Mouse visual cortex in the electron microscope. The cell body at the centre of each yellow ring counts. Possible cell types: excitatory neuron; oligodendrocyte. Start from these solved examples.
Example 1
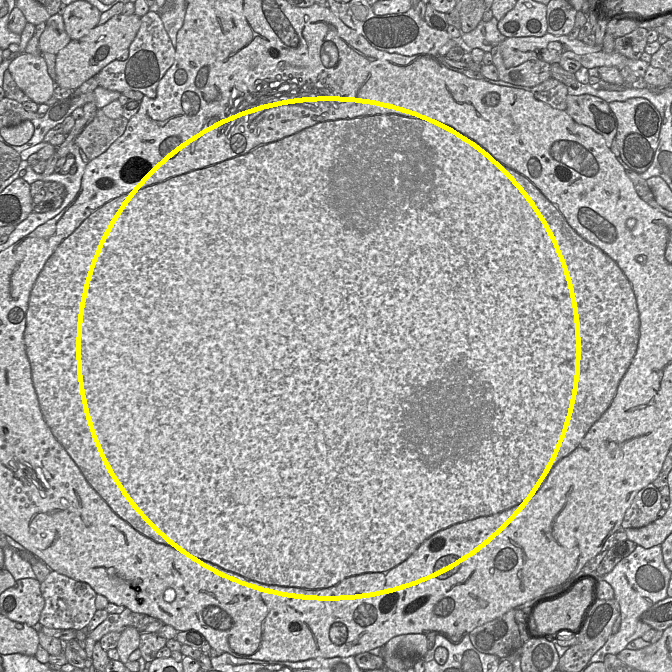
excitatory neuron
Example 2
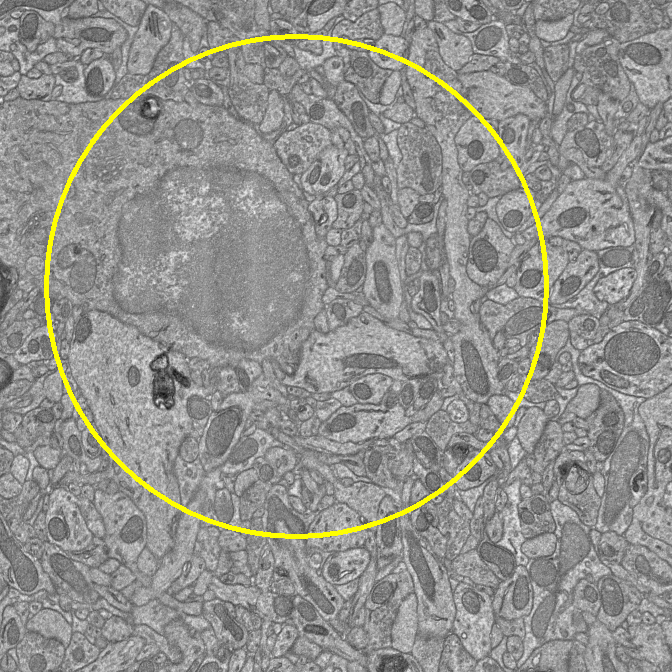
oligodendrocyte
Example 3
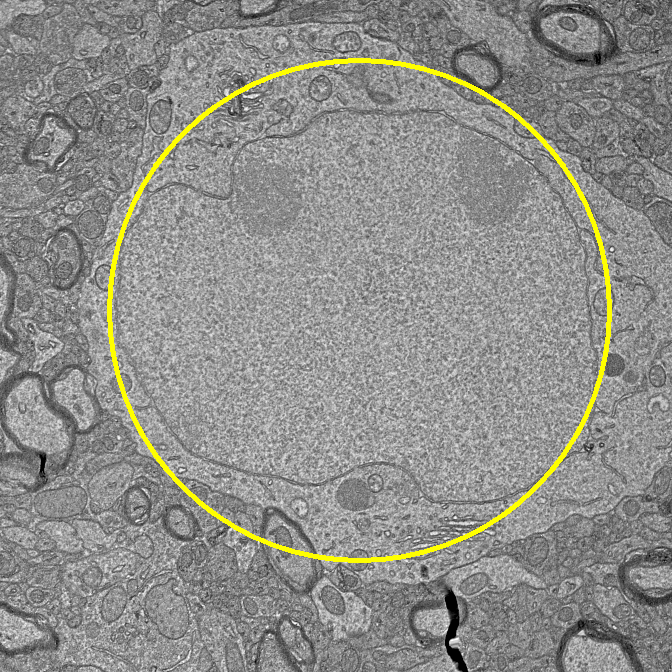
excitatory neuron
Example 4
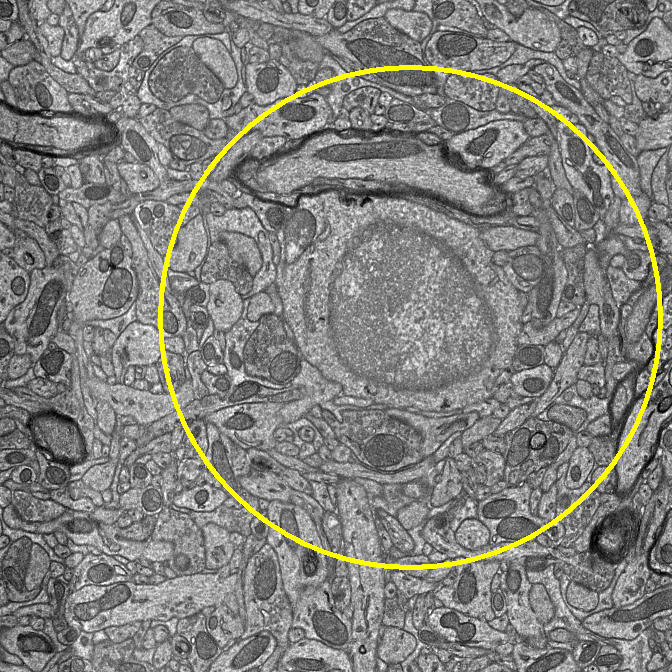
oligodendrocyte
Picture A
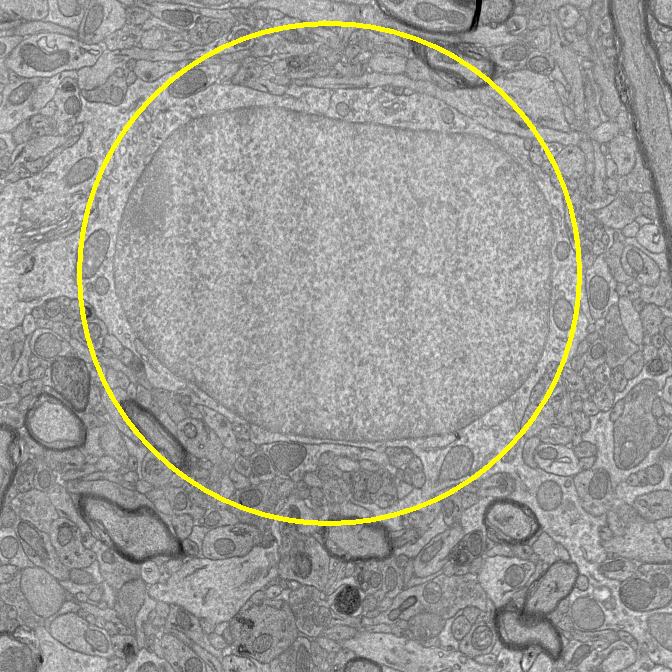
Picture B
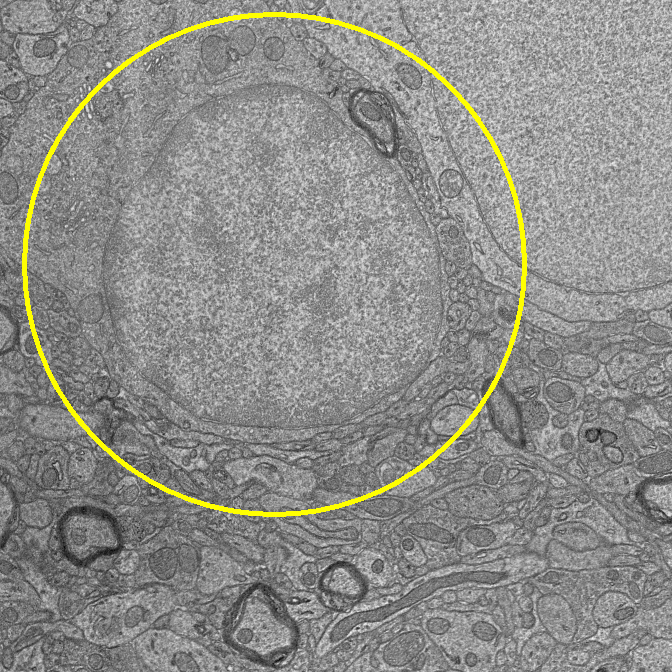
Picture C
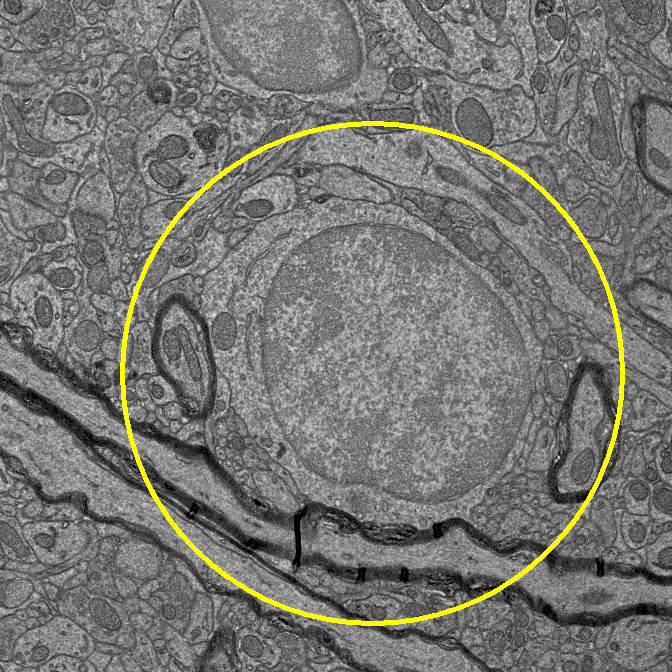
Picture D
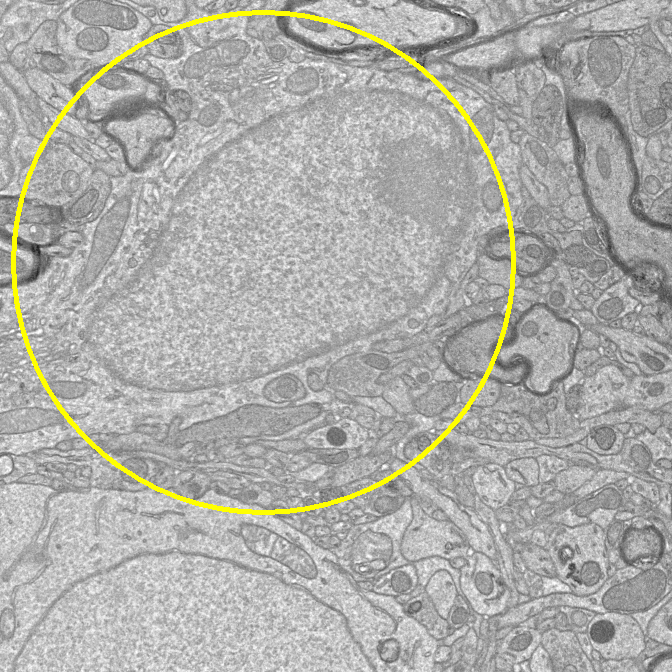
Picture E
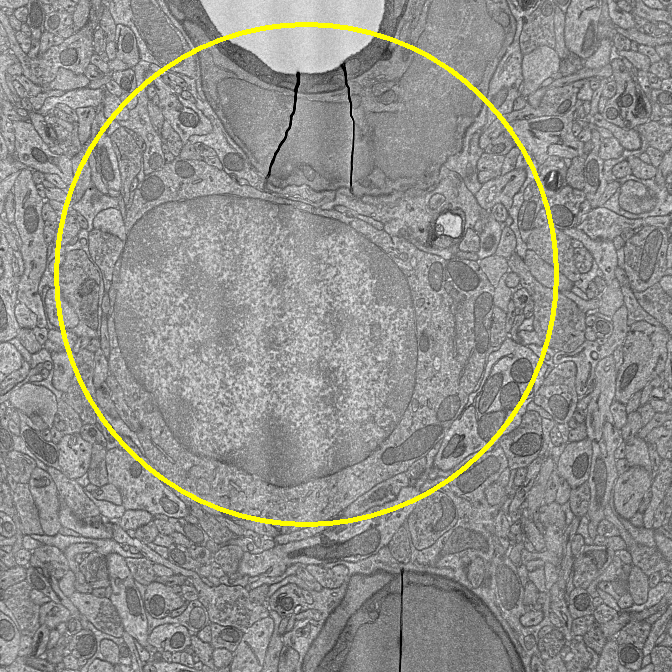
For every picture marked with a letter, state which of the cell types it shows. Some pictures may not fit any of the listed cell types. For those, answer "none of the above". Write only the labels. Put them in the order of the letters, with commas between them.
none of the above, oligodendrocyte, oligodendrocyte, none of the above, oligodendrocyte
